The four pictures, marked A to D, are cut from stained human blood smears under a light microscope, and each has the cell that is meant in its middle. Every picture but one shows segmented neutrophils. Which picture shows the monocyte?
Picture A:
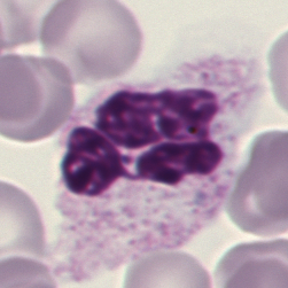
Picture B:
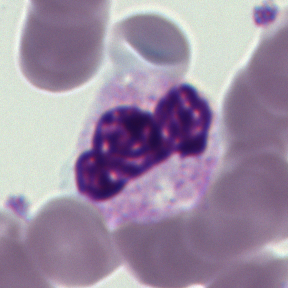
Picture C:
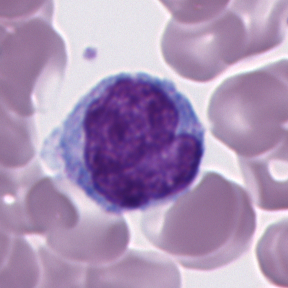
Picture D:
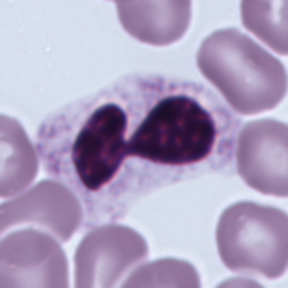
C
